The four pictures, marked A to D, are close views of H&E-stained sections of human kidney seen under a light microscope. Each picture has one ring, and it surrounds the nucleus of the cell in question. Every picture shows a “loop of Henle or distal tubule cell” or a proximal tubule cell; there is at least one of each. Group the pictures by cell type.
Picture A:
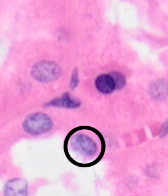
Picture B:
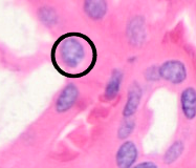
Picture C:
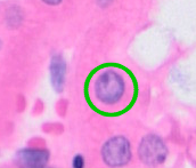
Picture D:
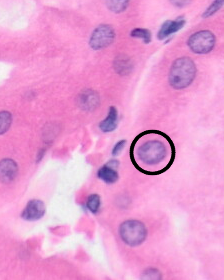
A: loop of Henle or distal tubule cell
B: loop of Henle or distal tubule cell
C: proximal tubule cell
D: proximal tubule cell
